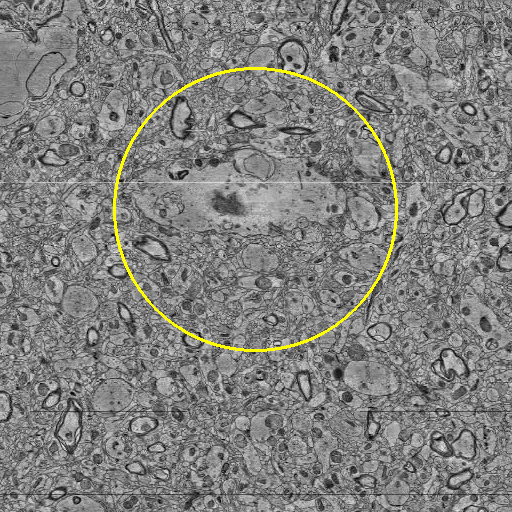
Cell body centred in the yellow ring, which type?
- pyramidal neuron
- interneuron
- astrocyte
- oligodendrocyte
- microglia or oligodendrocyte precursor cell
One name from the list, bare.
microglia or oligodendrocyte precursor cell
